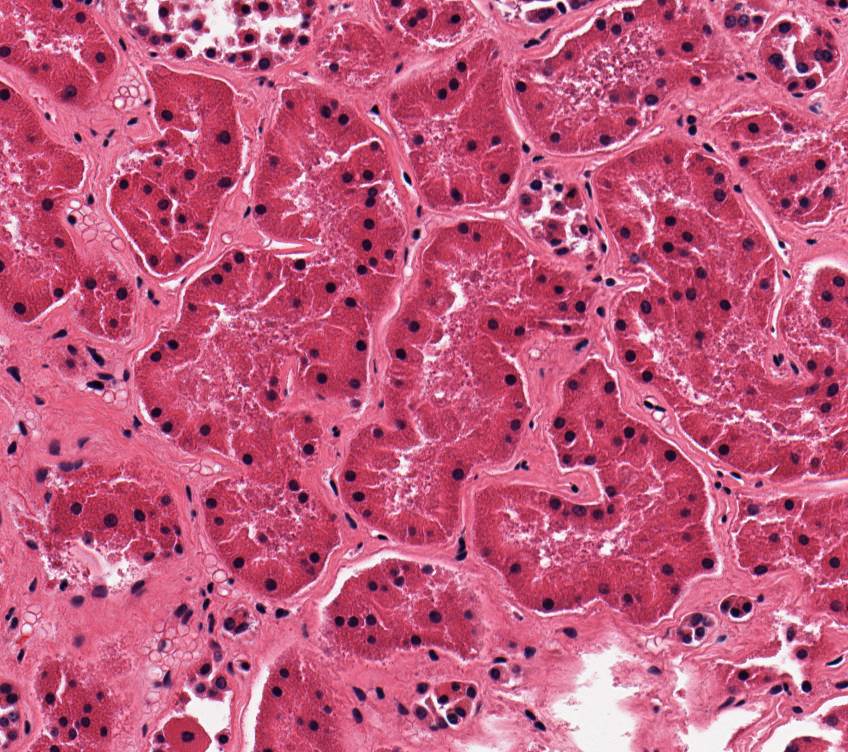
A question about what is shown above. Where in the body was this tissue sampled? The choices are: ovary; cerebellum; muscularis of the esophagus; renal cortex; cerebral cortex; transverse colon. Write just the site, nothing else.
renal cortex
